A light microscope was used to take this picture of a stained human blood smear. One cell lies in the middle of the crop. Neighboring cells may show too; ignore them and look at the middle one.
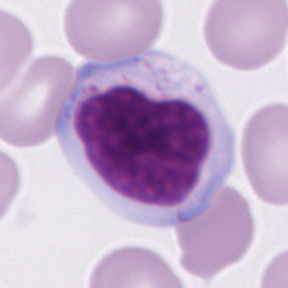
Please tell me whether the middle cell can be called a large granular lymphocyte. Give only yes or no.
yes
